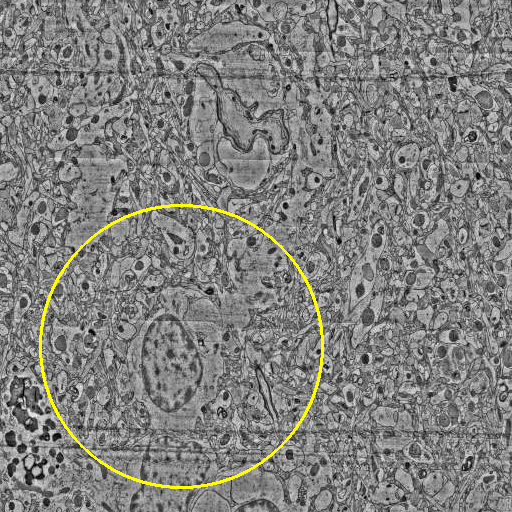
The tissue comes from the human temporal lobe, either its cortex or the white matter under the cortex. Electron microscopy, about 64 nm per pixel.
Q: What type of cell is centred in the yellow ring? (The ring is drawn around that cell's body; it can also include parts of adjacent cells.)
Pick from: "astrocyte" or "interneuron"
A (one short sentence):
The yellow ring is centred on an astrocyte.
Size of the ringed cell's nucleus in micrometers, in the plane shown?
In this plane the nucleus measures roughly 6 by 4 micrometers.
